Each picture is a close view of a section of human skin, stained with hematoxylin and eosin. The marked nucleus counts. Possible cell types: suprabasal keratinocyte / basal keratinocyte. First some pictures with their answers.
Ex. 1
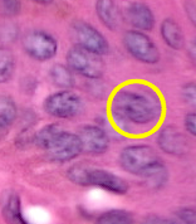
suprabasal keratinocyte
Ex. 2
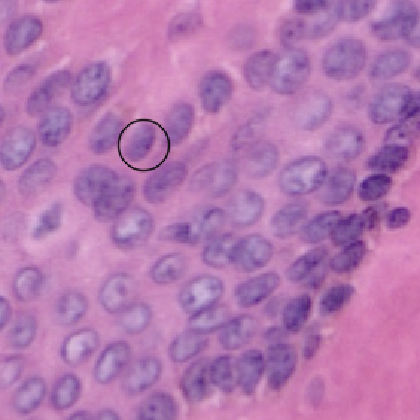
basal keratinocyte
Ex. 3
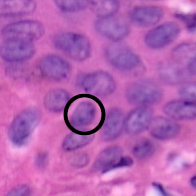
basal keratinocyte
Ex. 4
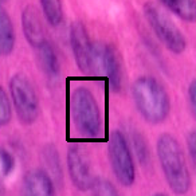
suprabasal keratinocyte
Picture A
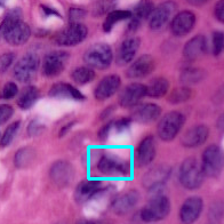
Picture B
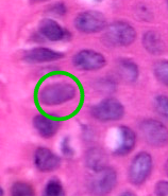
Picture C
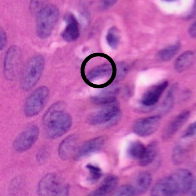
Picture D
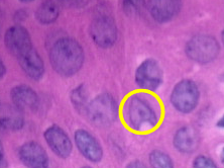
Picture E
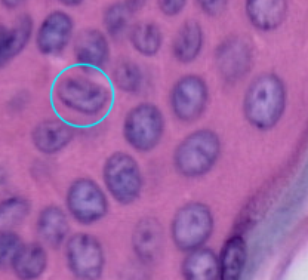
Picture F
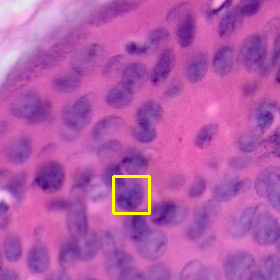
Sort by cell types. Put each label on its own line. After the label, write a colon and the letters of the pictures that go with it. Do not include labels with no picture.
suprabasal keratinocyte: D, E
basal keratinocyte: A, B, C, F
